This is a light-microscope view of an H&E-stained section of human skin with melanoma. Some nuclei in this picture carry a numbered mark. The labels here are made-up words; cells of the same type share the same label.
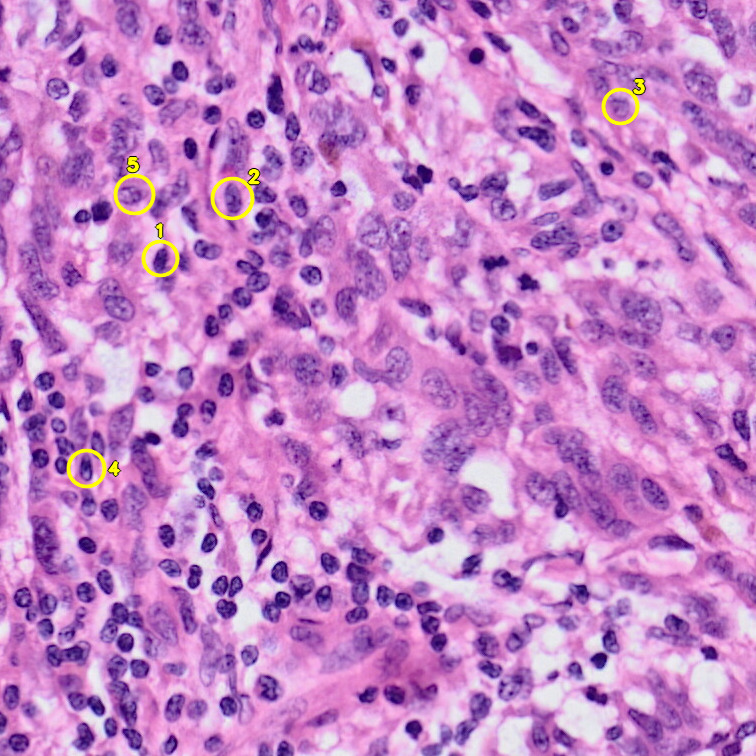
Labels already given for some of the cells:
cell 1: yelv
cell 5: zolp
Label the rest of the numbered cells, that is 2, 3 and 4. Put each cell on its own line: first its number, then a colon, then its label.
2: yelv
3: zolp
4: yelv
